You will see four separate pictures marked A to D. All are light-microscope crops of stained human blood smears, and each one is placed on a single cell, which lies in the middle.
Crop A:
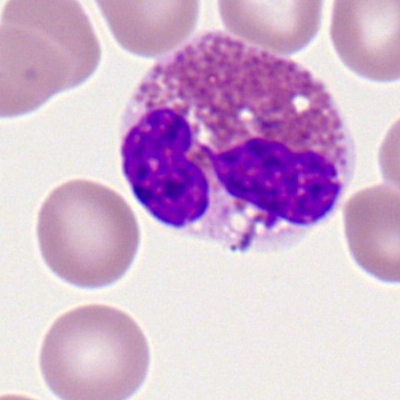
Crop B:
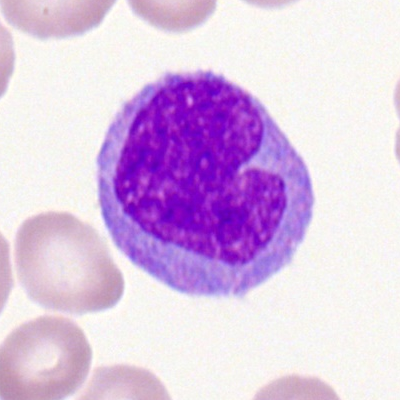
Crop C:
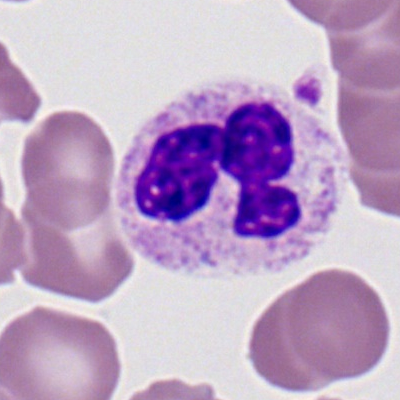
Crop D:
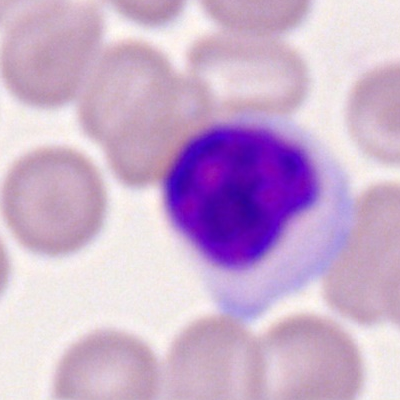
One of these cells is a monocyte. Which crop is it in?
B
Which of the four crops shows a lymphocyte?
D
